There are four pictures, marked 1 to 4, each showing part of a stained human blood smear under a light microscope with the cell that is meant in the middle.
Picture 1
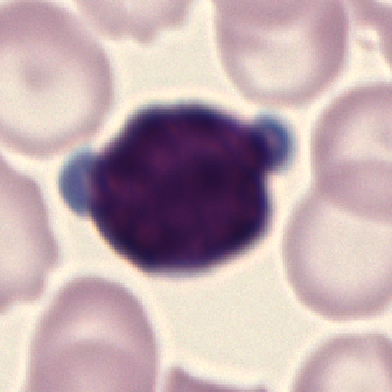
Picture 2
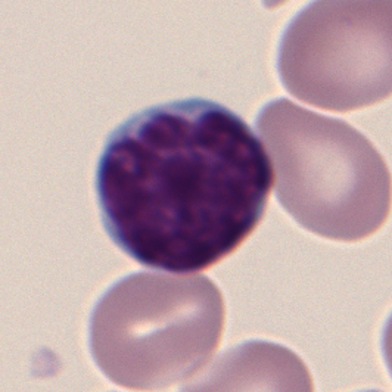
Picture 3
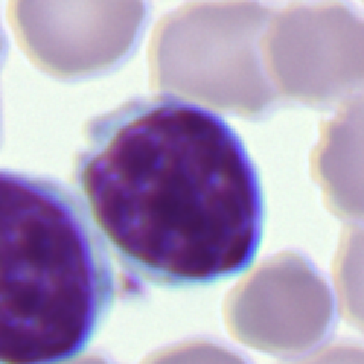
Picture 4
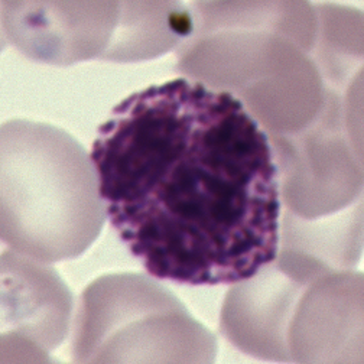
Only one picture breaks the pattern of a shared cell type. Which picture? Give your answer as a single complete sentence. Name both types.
The others show typical lymphocytes, but picture 4 shows a basophil.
